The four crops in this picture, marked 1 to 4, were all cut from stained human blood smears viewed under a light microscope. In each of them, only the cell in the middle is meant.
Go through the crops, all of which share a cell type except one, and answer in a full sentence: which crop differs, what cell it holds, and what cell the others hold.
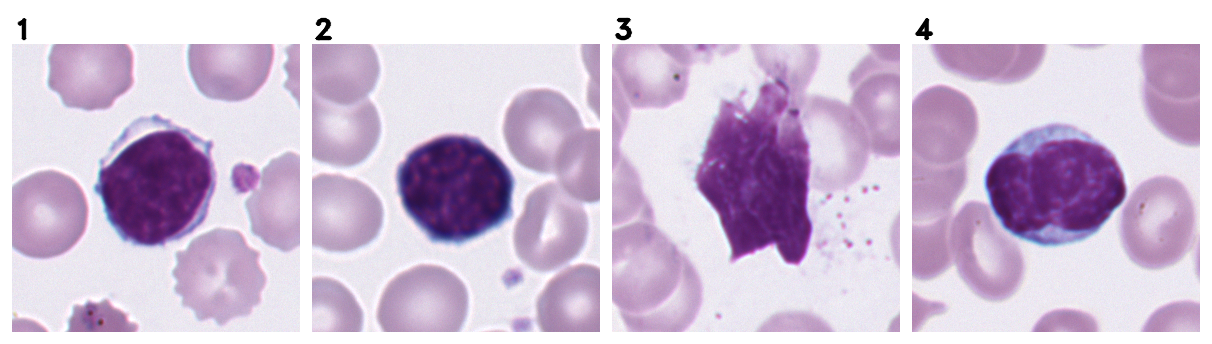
Crop 3 is the exception here: it is a smudge cell, and the others are typical lymphocytes.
